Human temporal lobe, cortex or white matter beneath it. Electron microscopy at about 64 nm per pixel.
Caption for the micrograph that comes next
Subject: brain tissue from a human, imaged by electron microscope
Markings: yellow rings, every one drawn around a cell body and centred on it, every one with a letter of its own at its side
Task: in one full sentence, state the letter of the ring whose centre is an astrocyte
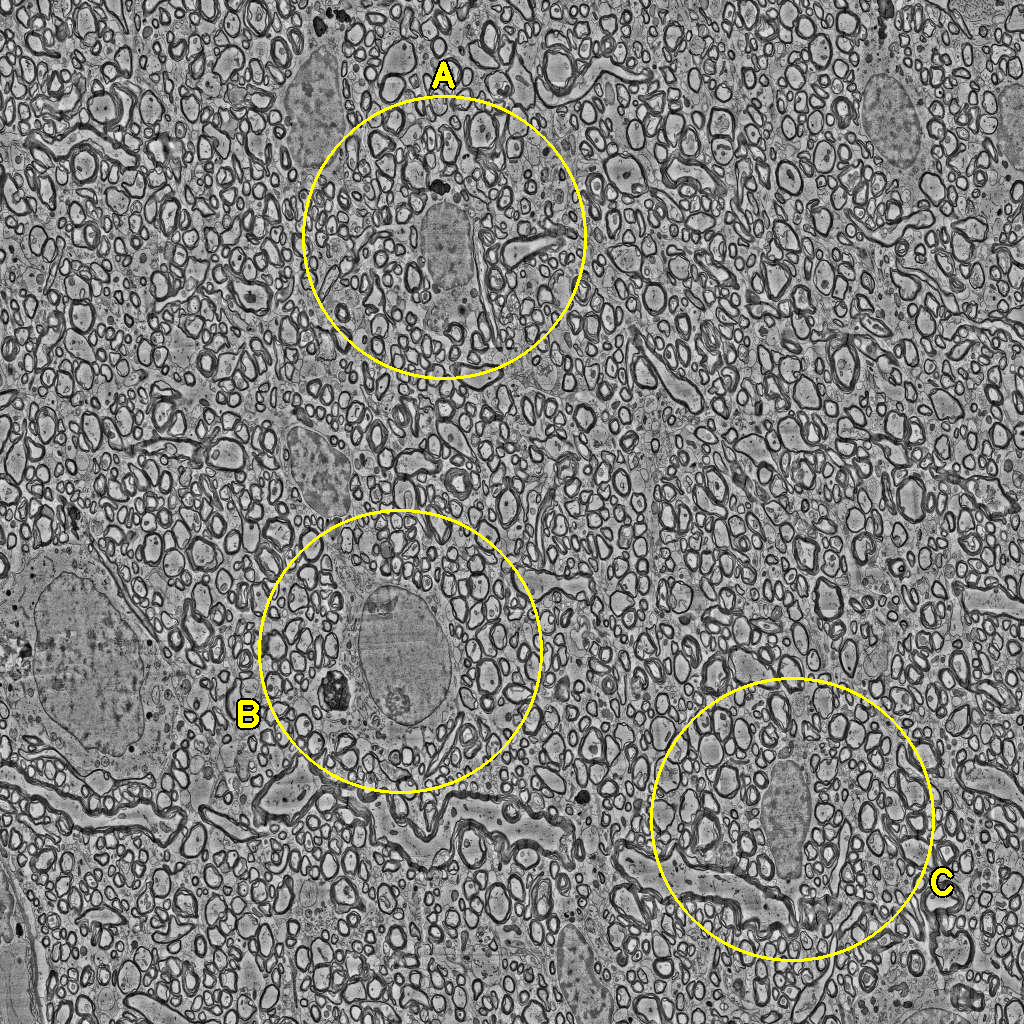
The ring centred on the cell asked for in this micrograph carries the letter B.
